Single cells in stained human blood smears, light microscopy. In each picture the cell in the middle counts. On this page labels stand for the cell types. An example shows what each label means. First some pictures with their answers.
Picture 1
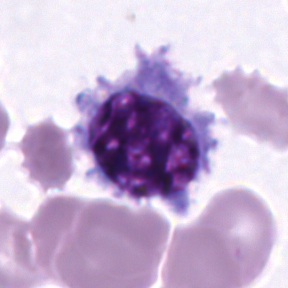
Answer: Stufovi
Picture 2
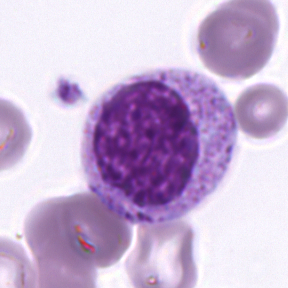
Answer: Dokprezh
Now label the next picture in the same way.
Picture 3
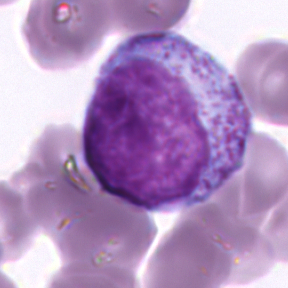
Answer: Dokprezh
